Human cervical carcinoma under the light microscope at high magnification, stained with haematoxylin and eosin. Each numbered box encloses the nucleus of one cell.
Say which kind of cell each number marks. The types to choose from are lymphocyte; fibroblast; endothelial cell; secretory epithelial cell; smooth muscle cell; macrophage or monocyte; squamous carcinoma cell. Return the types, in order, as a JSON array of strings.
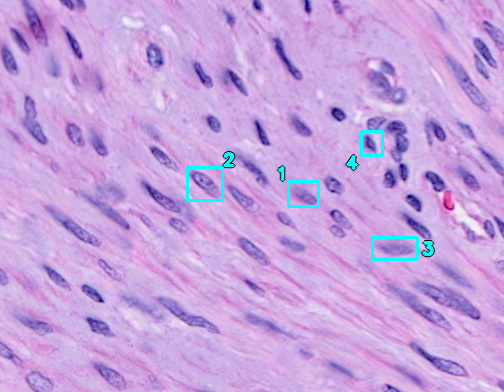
["smooth muscle cell", "smooth muscle cell", "smooth muscle cell", "fibroblast"]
